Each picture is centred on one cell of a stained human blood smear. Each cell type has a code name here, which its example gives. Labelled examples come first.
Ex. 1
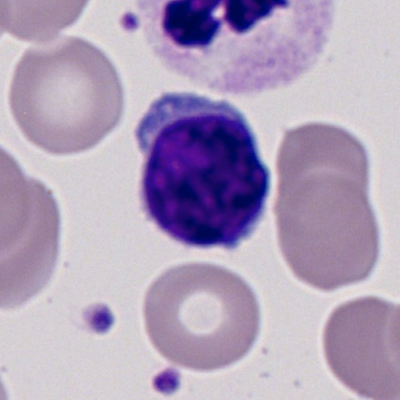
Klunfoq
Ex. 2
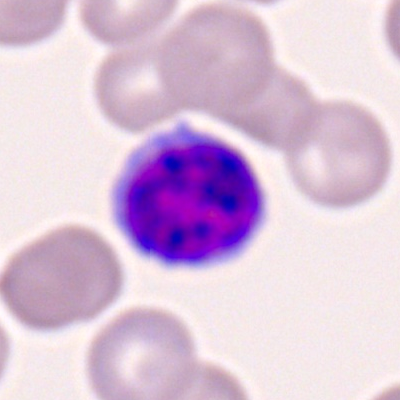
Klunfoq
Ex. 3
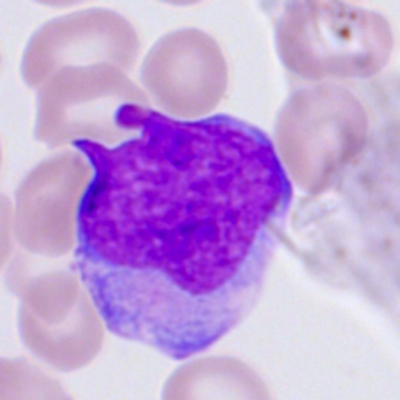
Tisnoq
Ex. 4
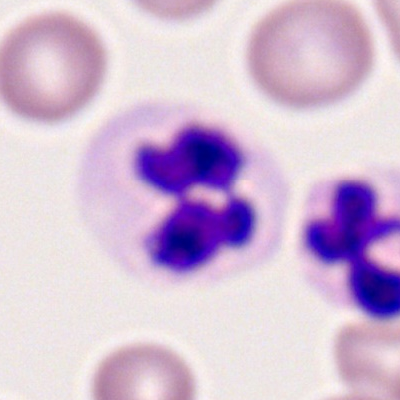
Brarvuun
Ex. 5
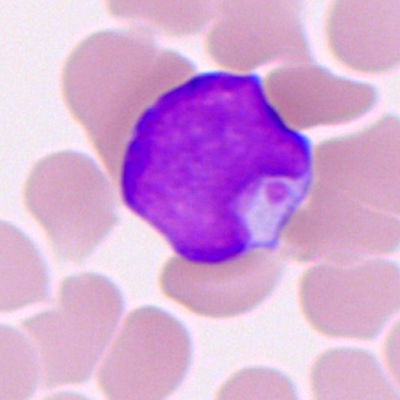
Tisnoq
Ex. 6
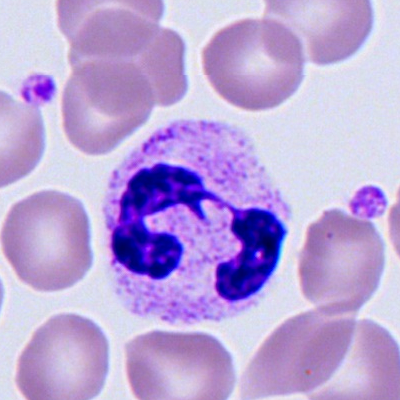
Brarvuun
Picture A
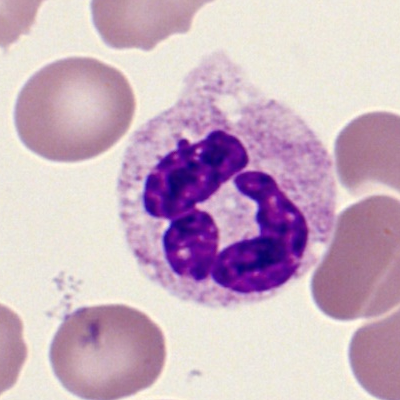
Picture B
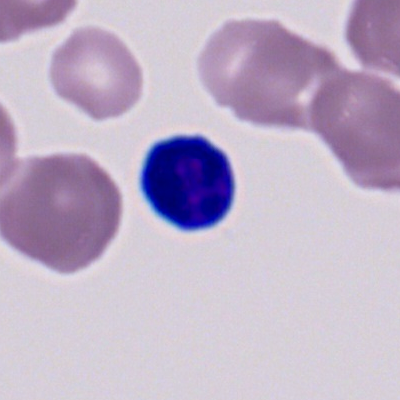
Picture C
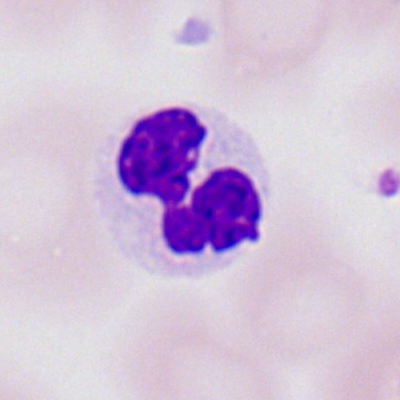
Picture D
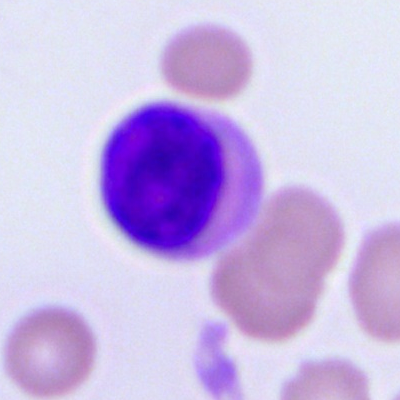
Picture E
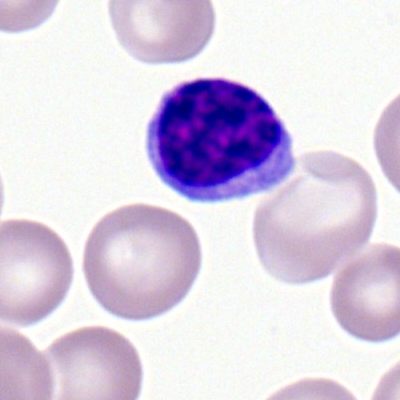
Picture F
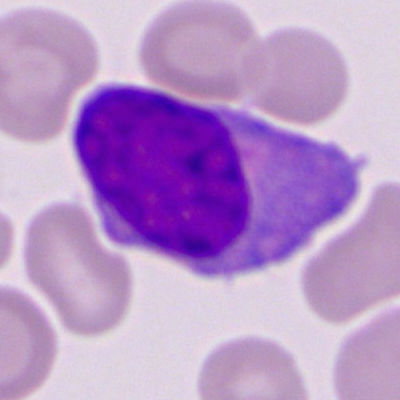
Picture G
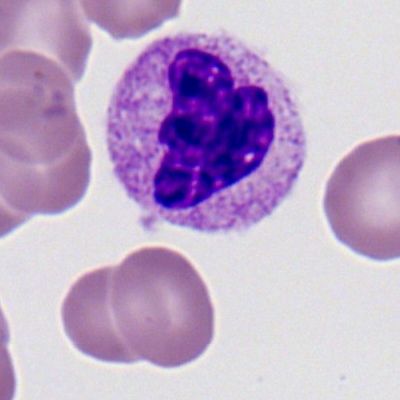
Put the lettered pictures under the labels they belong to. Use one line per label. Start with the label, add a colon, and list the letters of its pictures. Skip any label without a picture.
Klunfoq: B, D, E
Tisnoq: F
Brarvuun: A, C, G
